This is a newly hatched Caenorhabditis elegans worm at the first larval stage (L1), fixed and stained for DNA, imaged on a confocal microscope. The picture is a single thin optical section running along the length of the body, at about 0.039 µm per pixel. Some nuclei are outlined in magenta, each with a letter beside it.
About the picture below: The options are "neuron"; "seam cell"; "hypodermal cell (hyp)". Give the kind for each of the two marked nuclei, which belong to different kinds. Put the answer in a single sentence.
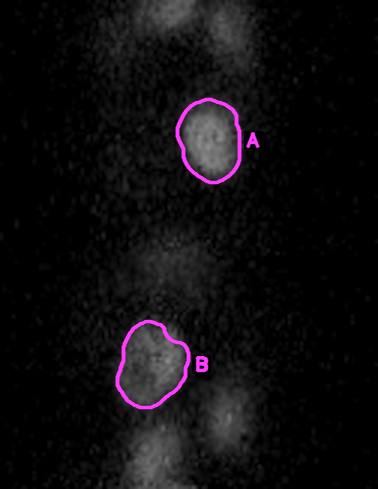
A is from a seam cell, and B is from a hypodermal cell (hyp).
